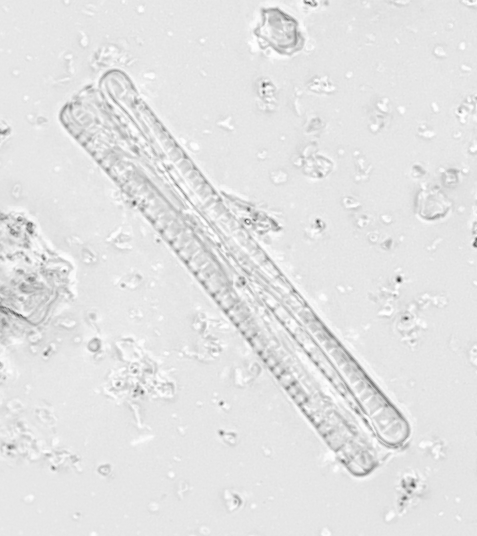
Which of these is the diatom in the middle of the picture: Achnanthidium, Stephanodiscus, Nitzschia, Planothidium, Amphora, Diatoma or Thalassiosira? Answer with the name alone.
Diatoma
